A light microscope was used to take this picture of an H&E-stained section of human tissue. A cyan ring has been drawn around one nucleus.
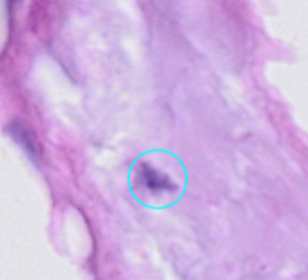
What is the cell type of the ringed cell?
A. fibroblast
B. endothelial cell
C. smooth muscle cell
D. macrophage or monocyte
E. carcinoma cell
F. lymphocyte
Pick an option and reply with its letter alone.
A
